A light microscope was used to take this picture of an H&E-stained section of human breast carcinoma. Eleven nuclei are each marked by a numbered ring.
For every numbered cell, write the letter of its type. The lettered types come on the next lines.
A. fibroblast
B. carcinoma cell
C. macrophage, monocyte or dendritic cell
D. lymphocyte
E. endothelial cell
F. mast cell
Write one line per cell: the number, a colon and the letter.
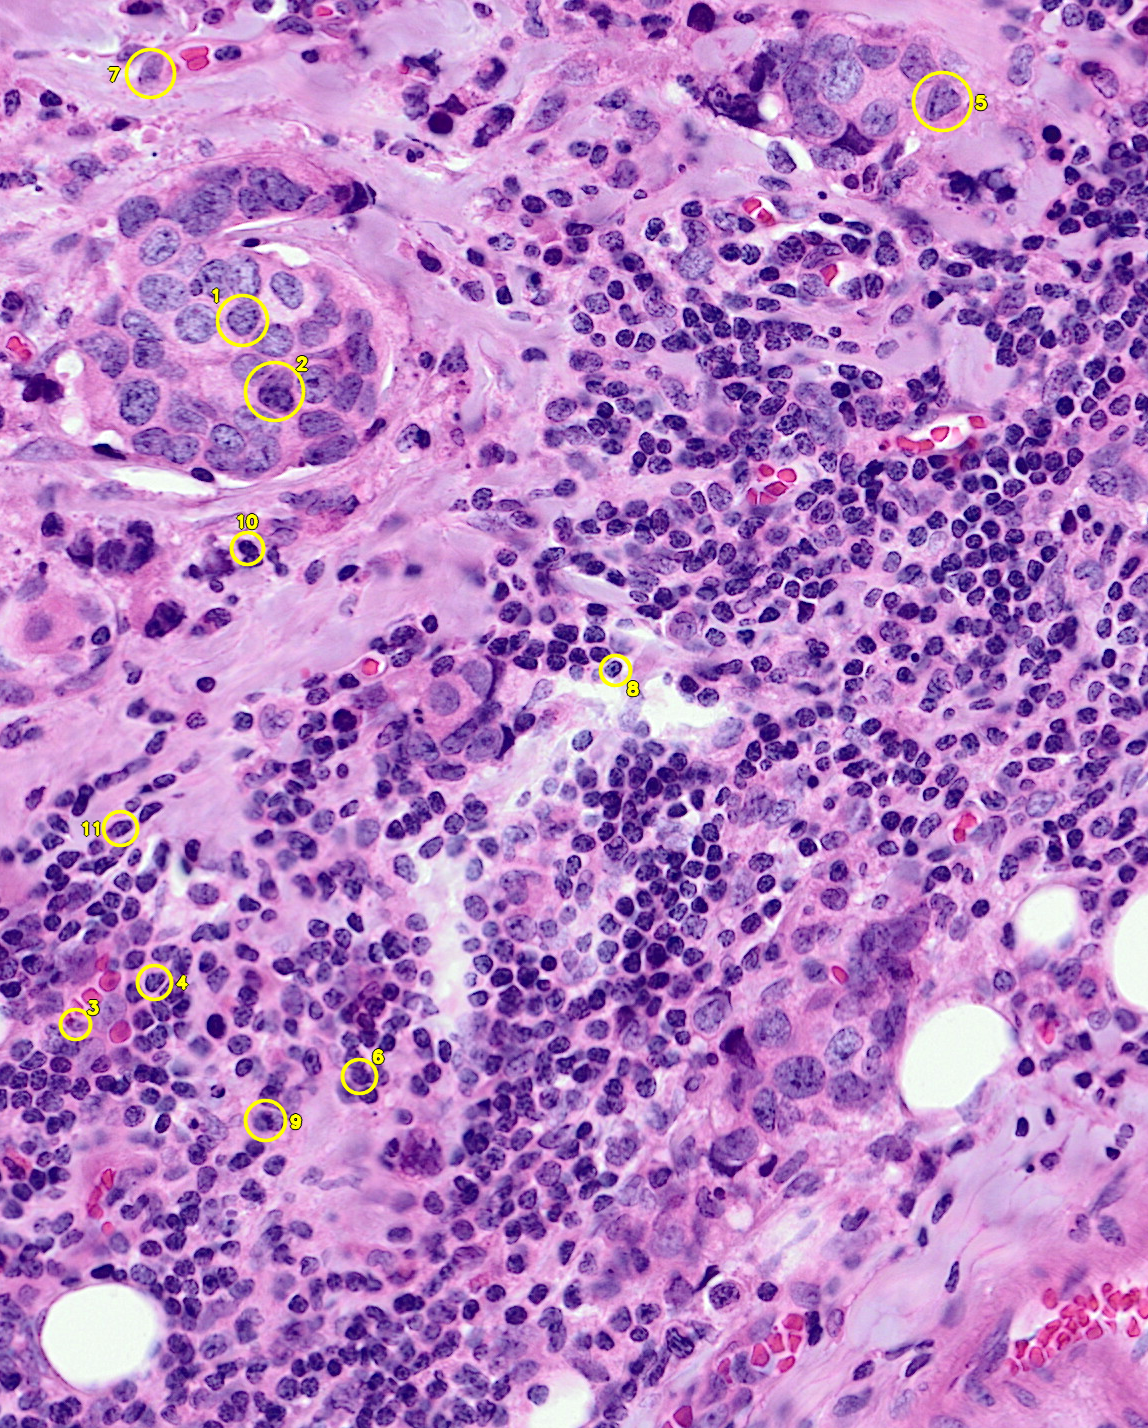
1: B
2: B
3: E
4: D
5: B
6: D
7: E
8: D
9: D
10: D
11: D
